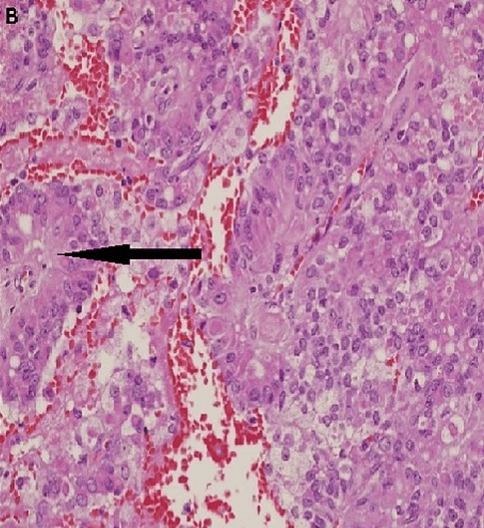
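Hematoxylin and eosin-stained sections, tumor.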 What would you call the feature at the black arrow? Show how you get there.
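Pseudopapillary architecture. Tumor cells cling around thin vessels full of red blood cells. Gaps separate the cell cuffs around neighbouring vessels.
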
